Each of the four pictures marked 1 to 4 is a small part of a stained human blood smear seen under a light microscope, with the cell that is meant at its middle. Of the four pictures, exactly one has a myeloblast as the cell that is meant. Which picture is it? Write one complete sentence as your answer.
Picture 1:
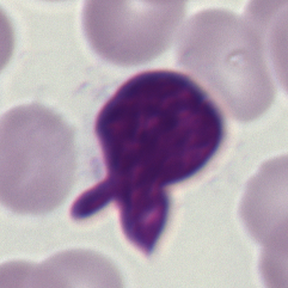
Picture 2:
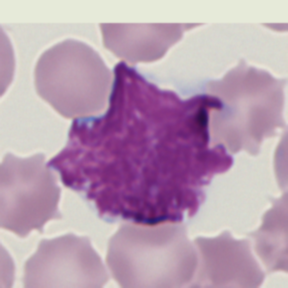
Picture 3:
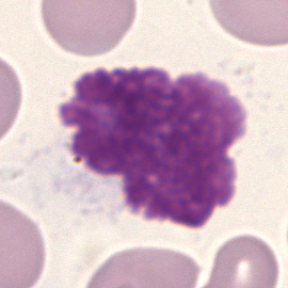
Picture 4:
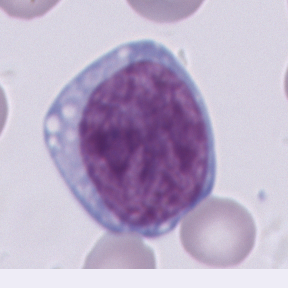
The myeloblast is the one in picture 4.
